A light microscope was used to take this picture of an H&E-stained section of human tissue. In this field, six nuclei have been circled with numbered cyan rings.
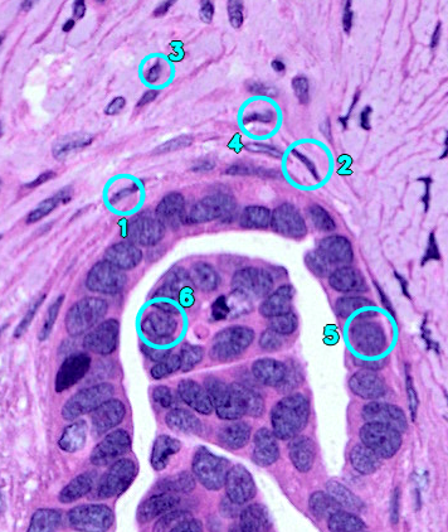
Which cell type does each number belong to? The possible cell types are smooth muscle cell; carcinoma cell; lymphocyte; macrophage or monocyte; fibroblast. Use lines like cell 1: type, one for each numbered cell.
cell 1: fibroblast
cell 2: fibroblast
cell 3: fibroblast
cell 4: fibroblast
cell 5: carcinoma cell
cell 6: carcinoma cell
